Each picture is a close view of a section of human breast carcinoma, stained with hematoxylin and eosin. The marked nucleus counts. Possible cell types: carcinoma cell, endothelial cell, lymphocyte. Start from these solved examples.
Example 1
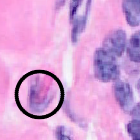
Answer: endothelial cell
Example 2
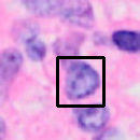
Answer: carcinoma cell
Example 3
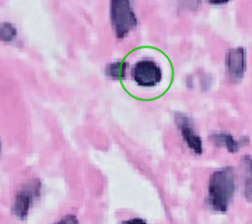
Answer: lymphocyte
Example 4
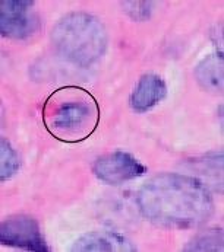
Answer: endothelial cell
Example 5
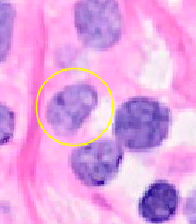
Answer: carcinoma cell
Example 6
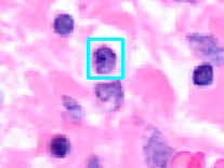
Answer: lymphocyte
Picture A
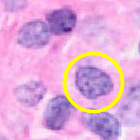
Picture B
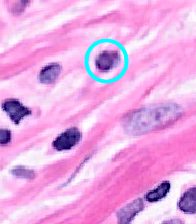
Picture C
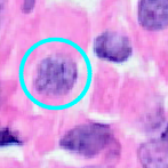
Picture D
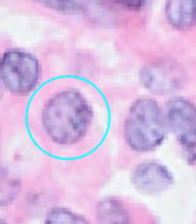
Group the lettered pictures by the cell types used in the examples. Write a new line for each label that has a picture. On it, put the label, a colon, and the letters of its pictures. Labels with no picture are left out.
carcinoma cell: A, C, D
lymphocyte: B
